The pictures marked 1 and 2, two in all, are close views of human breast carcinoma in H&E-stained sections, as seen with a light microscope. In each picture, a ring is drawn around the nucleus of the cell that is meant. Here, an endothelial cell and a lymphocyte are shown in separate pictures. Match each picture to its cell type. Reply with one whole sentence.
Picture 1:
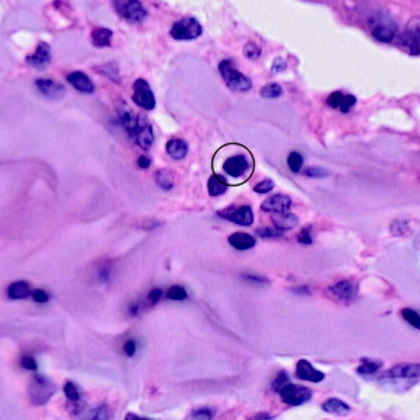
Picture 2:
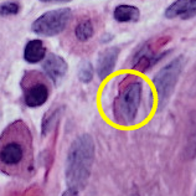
Picture 1 shows a lymphocyte and picture 2 shows an endothelial cell.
